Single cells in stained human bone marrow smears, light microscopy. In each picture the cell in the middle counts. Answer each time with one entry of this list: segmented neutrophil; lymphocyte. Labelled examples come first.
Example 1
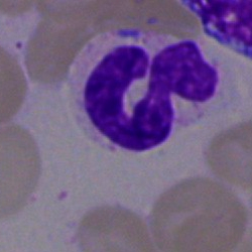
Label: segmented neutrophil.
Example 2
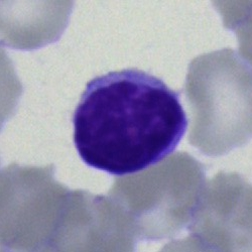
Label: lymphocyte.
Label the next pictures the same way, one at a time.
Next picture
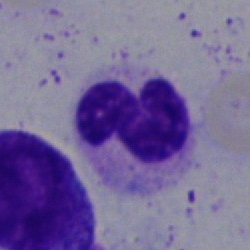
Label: segmented neutrophil.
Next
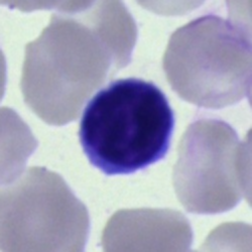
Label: lymphocyte.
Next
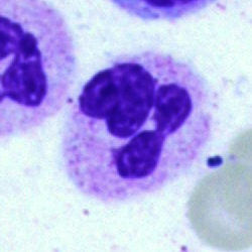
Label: segmented neutrophil.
